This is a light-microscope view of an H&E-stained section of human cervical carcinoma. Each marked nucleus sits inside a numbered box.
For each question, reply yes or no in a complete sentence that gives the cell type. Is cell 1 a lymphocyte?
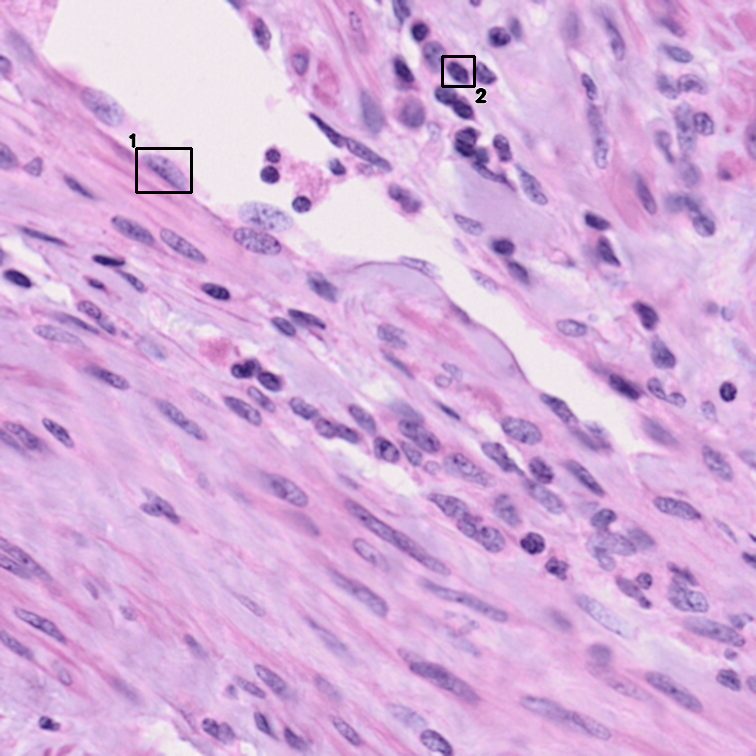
No, cell 1 is not a lymphocyte, but is instead an endothelial cell.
